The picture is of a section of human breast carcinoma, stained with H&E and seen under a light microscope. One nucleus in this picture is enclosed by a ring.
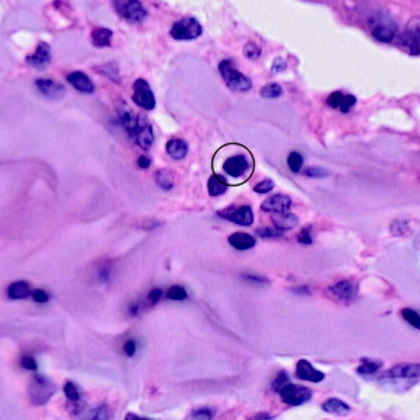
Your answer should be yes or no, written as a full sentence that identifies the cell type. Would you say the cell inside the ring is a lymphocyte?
Yes, the cell inside the ring is rightly regarded as a lymphocyte.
